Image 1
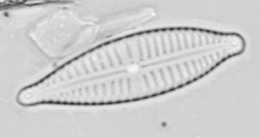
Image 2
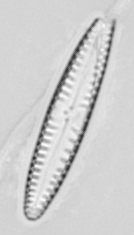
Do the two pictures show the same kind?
Yes, both are Gomphonema.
